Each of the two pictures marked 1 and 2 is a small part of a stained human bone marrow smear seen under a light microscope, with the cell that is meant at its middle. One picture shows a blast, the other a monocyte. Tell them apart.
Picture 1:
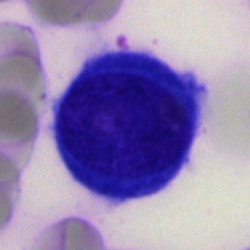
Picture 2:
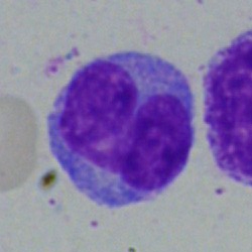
1: blast
2: monocyte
